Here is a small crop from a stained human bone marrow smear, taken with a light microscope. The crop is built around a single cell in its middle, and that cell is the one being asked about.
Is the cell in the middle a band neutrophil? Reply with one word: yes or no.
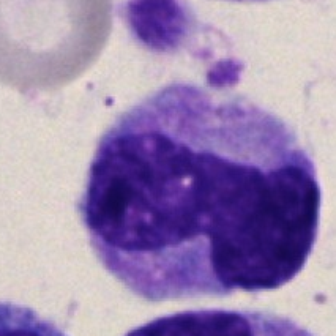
yes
